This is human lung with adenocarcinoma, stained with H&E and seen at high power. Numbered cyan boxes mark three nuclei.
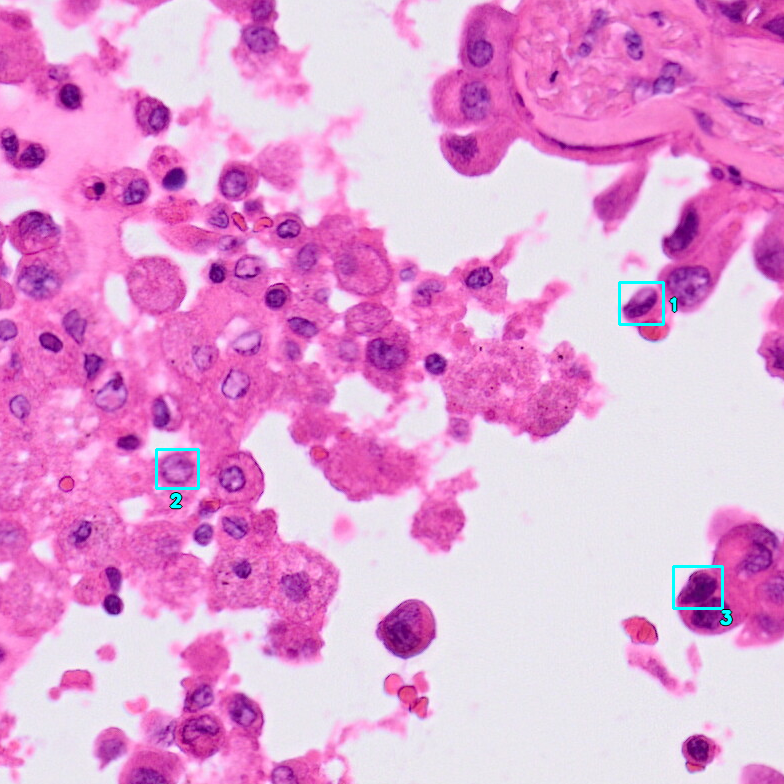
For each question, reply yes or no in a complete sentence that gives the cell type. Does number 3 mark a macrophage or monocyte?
No, the cell with the number 3 is a carcinoma cell, not a macrophage or monocyte.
